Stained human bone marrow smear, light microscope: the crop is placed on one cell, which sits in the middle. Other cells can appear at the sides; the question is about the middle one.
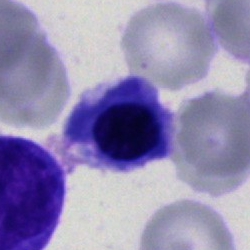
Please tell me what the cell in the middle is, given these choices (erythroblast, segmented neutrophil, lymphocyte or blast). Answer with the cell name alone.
erythroblast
